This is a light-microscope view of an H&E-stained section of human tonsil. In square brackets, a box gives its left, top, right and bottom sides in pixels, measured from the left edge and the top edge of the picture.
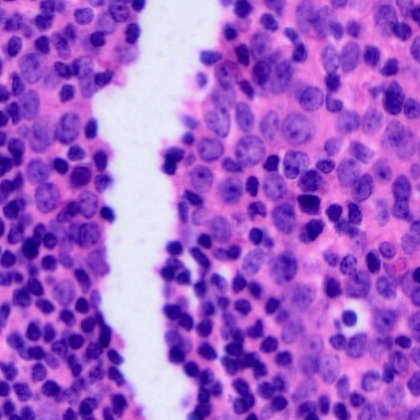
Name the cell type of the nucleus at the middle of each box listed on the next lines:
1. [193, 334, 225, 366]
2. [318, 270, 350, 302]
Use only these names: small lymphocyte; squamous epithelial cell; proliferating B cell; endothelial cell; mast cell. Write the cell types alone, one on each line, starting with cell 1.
small lymphocyte
proliferating B cell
